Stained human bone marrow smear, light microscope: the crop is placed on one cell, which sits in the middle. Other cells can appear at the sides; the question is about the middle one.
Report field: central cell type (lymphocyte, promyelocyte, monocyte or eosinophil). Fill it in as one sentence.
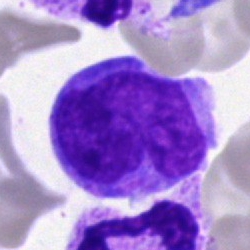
Located at the centre of the crop is a monocyte.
